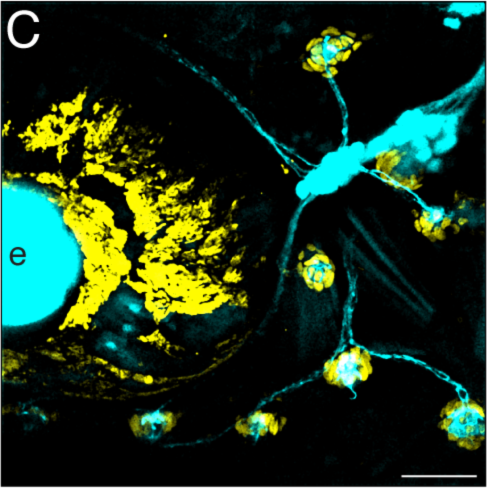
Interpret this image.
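This is the head of a larval fish with lateral line neuromasts and the afferent nerves that supply them. A large bright cyan disc at the left edge is the lens of the eye, and a dense cluster of cyan cell bodies behind the eye forms the lateral line ganglion. Thin cyan nerve fibres radiate from the ganglion upwards, forwards and downwards across the head. A broad irregular yellow patch lies just behind the lens.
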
